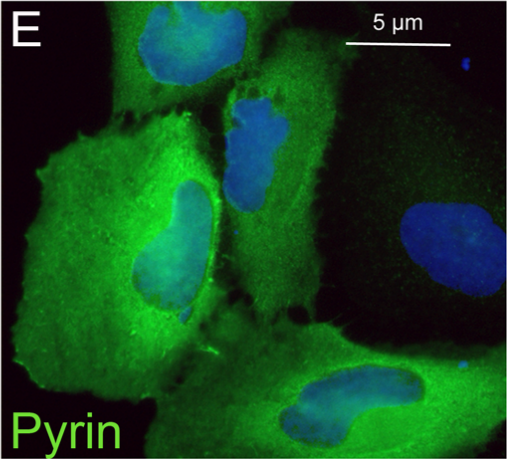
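Several flattened cultured cells are shown, each with a single oval blue nucleus. In the labelled cells the green fills the cytoplasm diffusely and evenly, without strands or a network. The nuclei appear as blue ovals set within the green cytoplasm, and one cell at the right shows only a blue nucleus with little green around it. The cell borders are irregular, and some cells touch their neighbours.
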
